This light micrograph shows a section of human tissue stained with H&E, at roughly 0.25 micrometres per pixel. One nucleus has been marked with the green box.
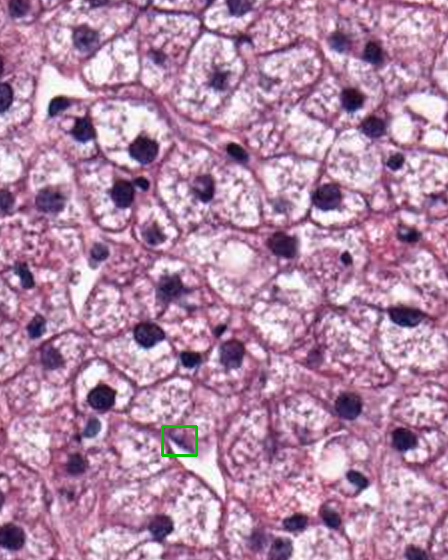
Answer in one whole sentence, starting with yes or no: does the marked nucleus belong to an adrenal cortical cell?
No, a supporting cell, not an adrenal cortical cell, carries the marked nucleus.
